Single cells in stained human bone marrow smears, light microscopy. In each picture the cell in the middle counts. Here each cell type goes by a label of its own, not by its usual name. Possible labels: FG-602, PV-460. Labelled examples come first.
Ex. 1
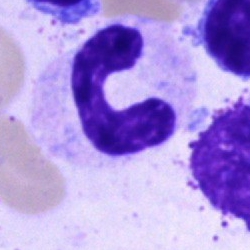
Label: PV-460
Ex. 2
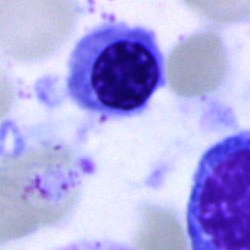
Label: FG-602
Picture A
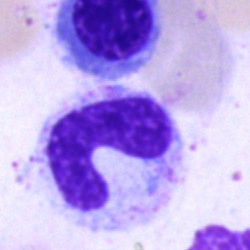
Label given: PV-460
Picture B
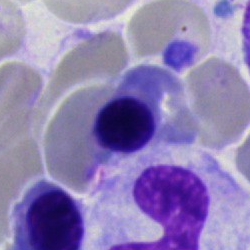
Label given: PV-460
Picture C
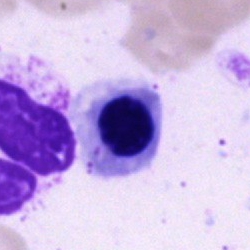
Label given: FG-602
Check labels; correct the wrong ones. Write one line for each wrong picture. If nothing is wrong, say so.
B: not PV-460 but FG-602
